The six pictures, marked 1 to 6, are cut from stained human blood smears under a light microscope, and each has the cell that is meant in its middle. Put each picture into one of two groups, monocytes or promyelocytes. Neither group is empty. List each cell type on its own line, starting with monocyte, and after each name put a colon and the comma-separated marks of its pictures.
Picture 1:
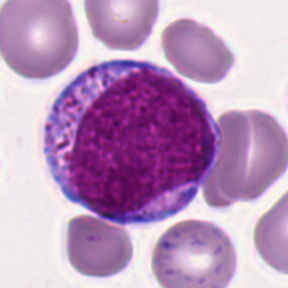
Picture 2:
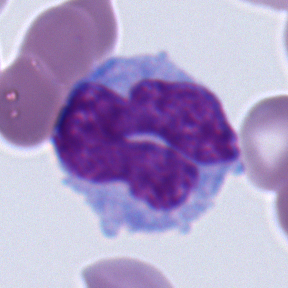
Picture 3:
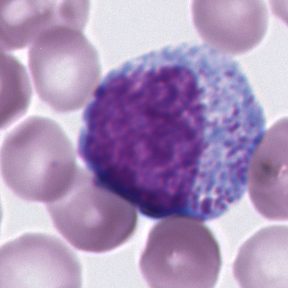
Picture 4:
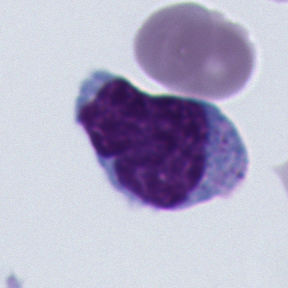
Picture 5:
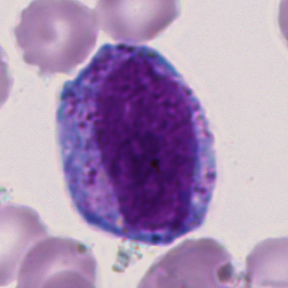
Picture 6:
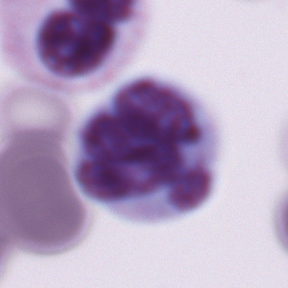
monocyte: 2, 4, 6
promyelocyte: 1, 3, 5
